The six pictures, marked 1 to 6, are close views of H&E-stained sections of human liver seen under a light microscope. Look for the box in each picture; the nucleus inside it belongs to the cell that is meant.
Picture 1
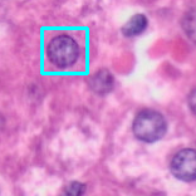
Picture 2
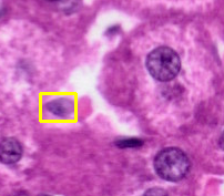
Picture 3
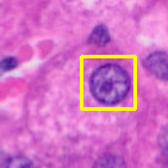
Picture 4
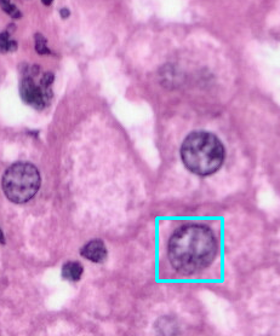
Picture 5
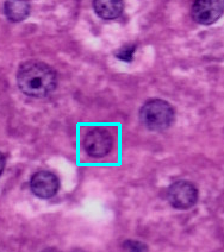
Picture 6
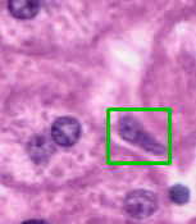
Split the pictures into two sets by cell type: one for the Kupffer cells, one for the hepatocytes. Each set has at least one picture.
1: hepatocyte
2: Kupffer cell
3: hepatocyte
4: hepatocyte
5: hepatocyte
6: Kupffer cell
